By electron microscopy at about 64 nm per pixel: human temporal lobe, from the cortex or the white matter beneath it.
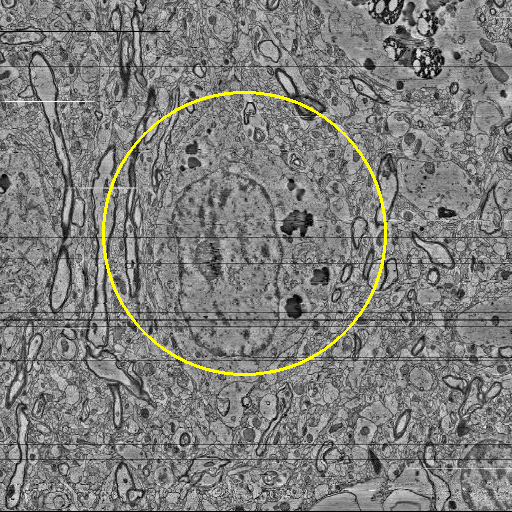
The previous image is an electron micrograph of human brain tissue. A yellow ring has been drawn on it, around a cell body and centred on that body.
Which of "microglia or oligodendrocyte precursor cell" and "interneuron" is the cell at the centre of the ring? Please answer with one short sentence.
The cell body at the centre of the ring belongs to an interneuron.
